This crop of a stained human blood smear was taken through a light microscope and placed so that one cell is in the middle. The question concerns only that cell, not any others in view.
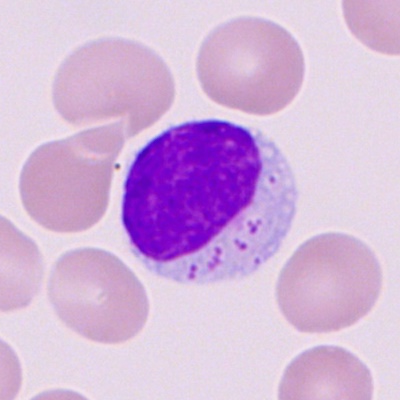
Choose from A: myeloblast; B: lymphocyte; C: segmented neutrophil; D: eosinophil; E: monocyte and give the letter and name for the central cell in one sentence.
Option B correctly states that the central cell is a lymphocyte.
